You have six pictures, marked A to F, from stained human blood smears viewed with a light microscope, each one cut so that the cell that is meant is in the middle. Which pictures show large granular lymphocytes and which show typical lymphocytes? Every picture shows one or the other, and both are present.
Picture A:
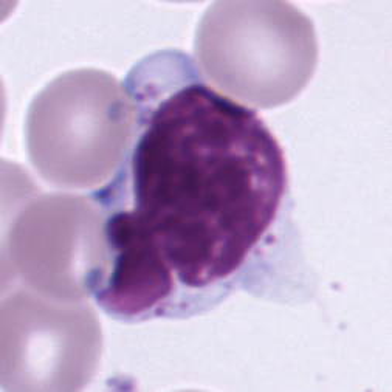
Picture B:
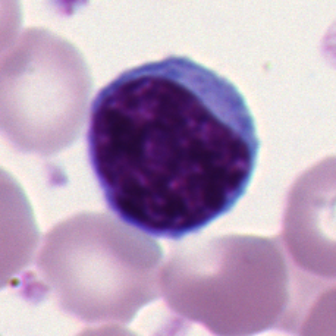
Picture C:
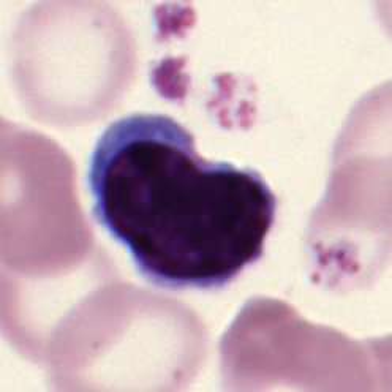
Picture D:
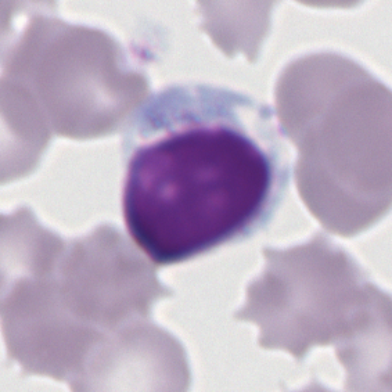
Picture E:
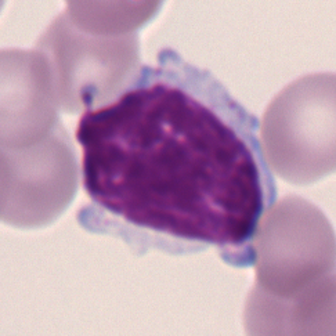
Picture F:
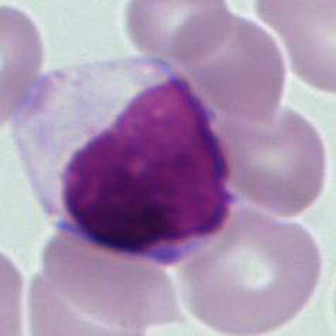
A: large granular lymphocyte
B: typical lymphocyte
C: typical lymphocyte
D: typical lymphocyte
E: large granular lymphocyte
F: large granular lymphocyte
